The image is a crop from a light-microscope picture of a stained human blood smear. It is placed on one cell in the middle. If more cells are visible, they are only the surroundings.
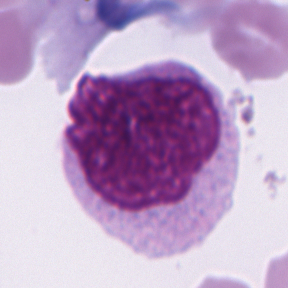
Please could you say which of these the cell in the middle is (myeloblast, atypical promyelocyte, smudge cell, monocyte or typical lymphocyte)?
monocyte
